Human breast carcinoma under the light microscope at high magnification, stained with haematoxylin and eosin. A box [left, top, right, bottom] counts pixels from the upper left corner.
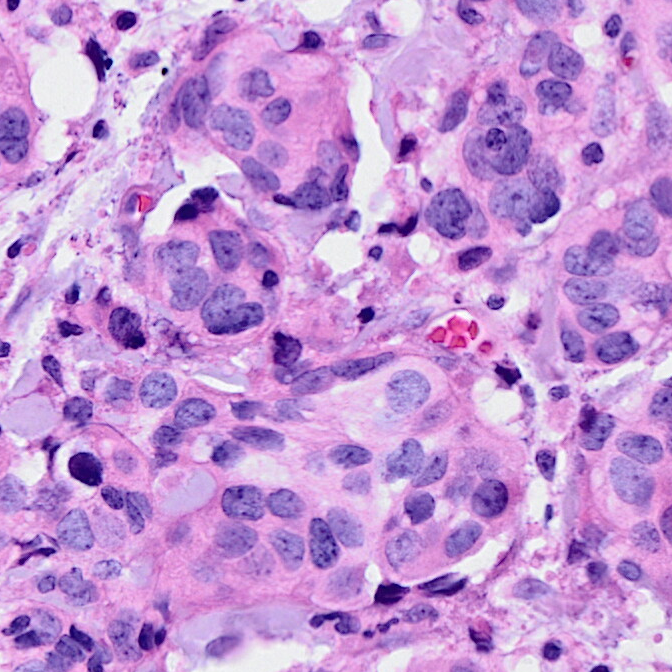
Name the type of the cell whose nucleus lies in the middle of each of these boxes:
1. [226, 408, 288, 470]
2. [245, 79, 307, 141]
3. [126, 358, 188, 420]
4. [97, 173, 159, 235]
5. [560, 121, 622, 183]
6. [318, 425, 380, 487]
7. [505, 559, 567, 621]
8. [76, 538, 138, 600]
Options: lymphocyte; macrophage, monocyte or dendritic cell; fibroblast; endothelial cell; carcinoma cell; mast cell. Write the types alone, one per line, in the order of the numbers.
carcinoma cell
carcinoma cell
carcinoma cell
endothelial cell
lymphocyte
carcinoma cell
fibroblast
carcinoma cell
